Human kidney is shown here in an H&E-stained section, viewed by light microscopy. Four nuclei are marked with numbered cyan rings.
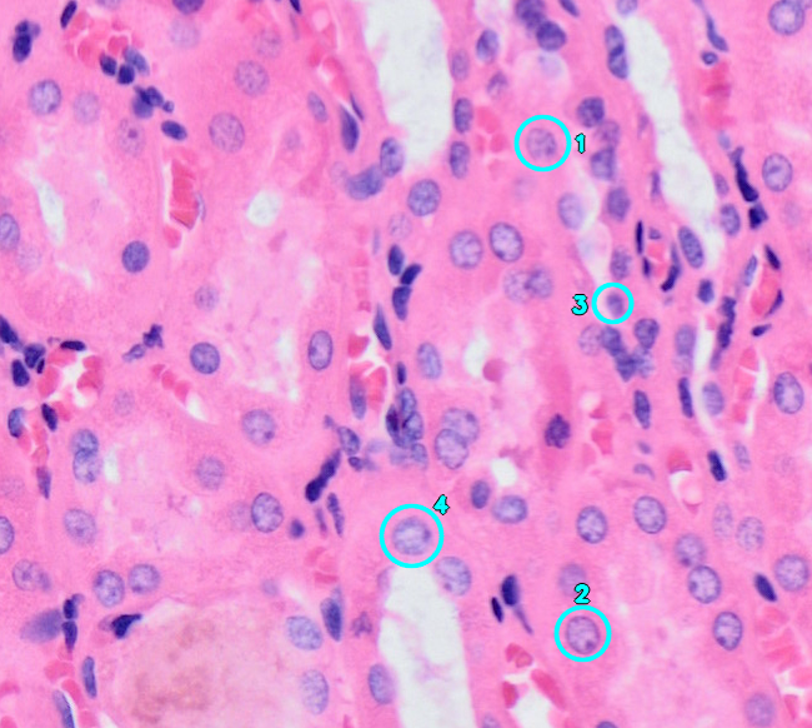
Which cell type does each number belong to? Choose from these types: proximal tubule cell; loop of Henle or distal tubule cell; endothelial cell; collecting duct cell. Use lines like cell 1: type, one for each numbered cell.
cell 1: loop of Henle or distal tubule cell
cell 2: proximal tubule cell
cell 3: loop of Henle or distal tubule cell
cell 4: loop of Henle or distal tubule cell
